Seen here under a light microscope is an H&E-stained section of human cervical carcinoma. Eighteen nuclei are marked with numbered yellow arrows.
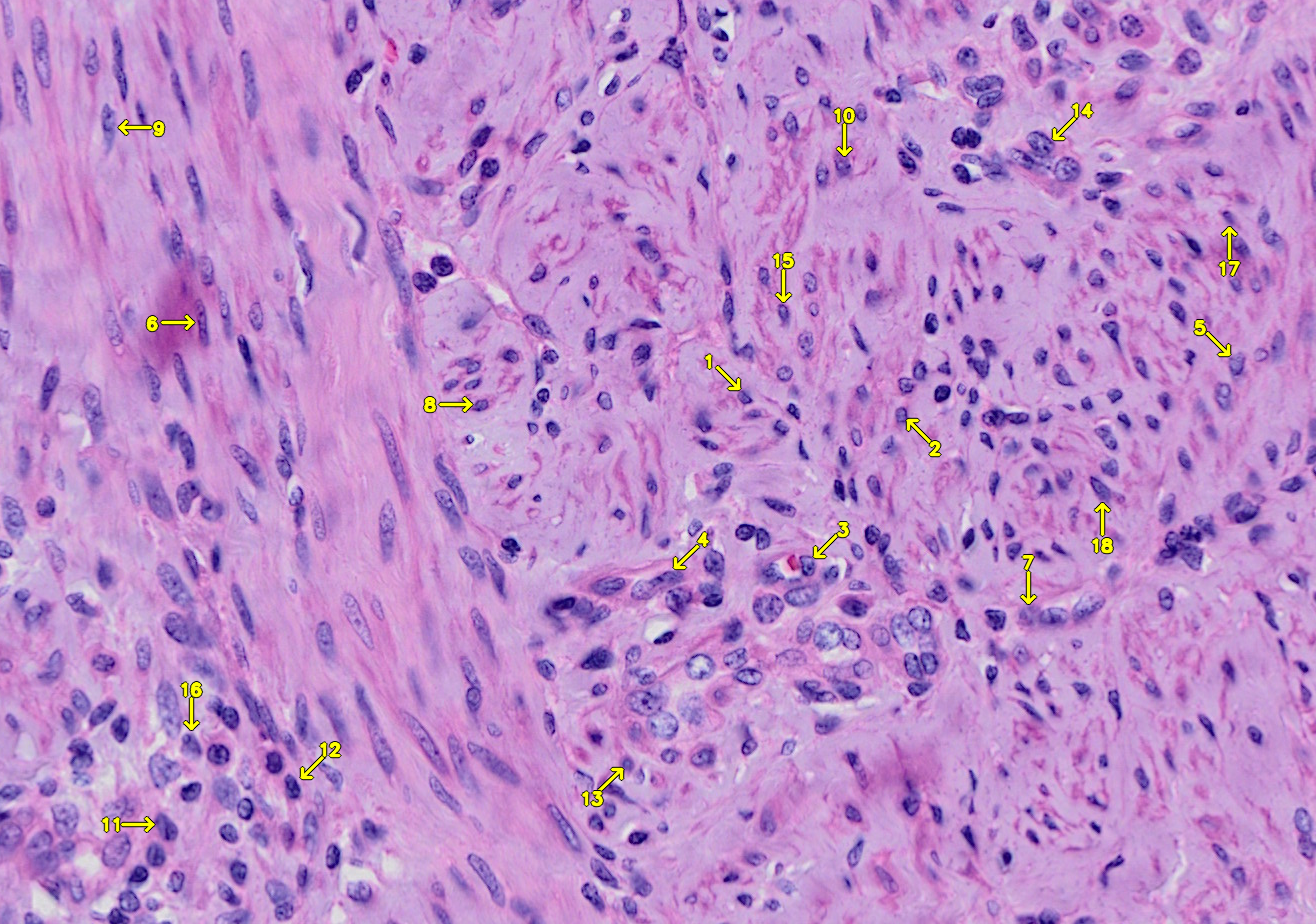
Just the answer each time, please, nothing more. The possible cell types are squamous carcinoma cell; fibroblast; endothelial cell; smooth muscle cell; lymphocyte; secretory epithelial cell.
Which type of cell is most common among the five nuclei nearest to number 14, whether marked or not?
endothelial cell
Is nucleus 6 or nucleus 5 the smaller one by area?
5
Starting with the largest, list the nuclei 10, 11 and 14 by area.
14, 11, 10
